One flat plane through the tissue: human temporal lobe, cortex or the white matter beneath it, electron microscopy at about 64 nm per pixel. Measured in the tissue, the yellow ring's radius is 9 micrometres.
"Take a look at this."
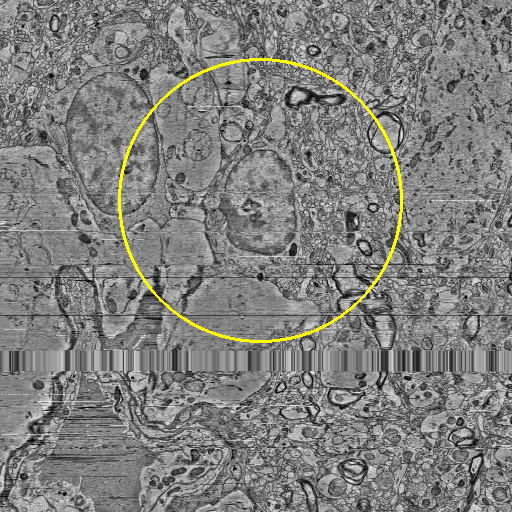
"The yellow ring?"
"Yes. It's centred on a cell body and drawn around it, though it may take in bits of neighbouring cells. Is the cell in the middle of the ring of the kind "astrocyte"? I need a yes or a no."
No, it is of another kind.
